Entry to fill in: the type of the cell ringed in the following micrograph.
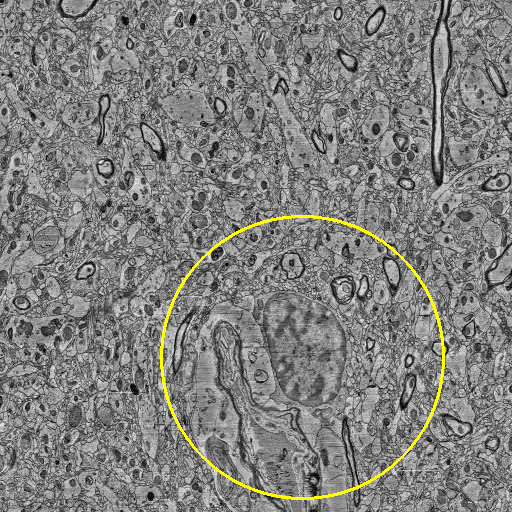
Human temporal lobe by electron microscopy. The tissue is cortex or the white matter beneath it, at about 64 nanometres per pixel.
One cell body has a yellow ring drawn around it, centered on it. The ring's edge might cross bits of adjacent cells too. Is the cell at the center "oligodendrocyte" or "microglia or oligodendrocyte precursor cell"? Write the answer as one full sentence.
This entry names an oligodendrocyte as the cell whose body lies at the ring's center.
